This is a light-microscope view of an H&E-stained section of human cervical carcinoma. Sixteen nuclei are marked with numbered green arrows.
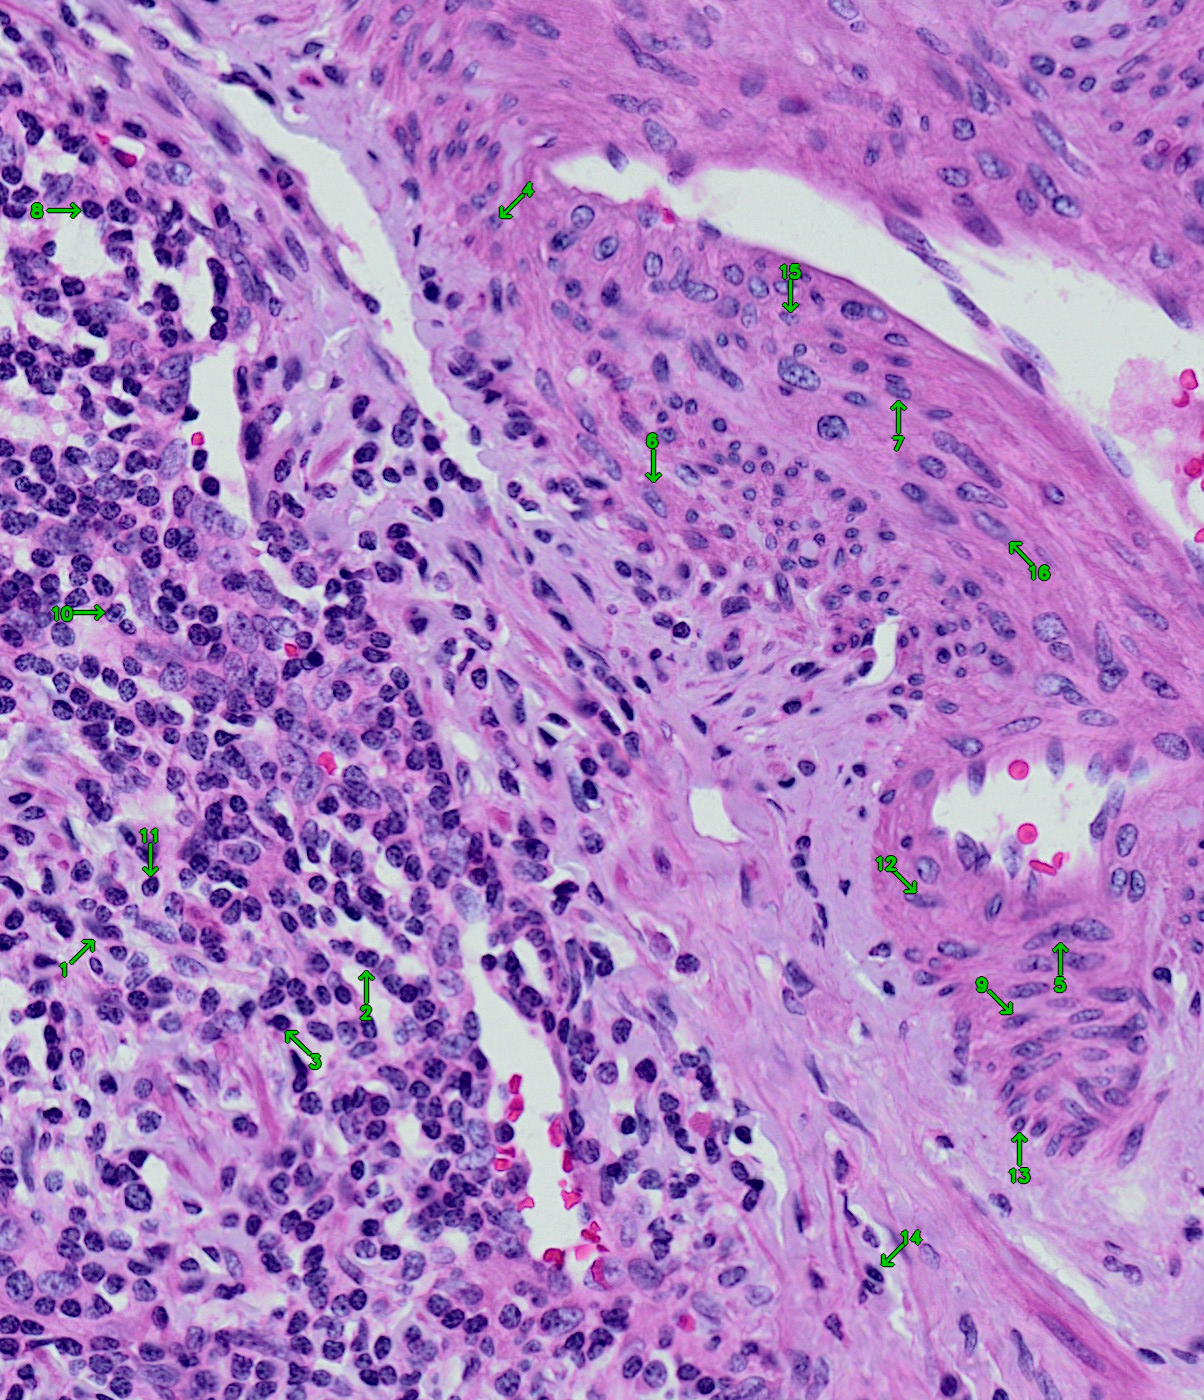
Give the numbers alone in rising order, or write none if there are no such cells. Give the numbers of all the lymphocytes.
1, 2, 3, 8, 10, 11, 14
